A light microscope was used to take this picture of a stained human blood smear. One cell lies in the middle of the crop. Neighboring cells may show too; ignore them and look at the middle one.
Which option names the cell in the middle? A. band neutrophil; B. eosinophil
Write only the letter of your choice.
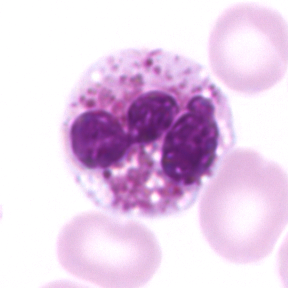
B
